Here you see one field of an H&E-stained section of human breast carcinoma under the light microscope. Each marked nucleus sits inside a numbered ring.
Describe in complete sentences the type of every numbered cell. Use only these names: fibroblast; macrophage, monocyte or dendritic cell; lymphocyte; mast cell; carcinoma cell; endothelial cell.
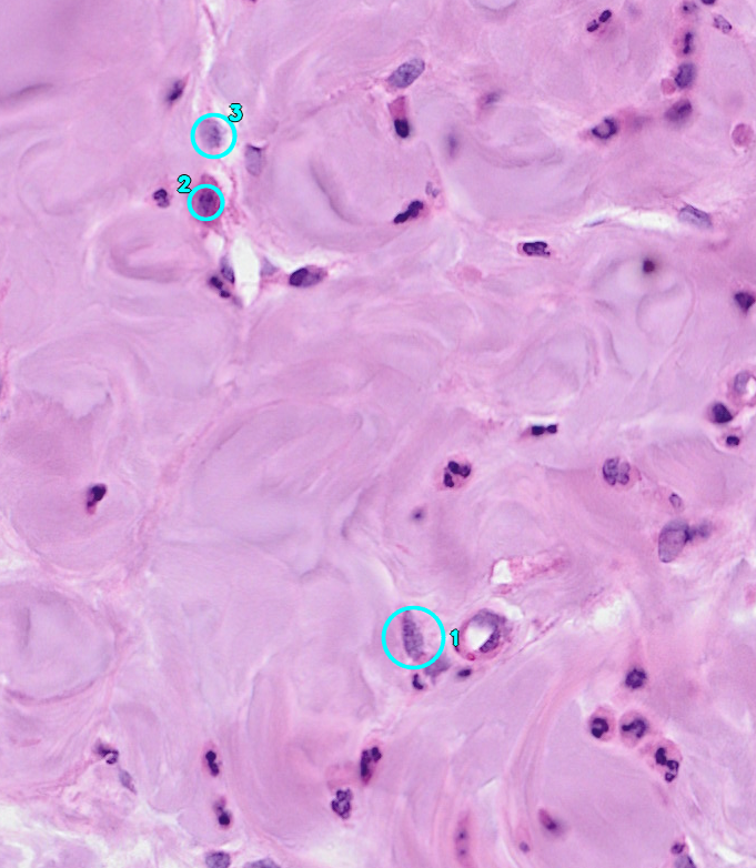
Cell 1 is a fibroblast, cell 2 is a mast cell and cell 3 is a fibroblast.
